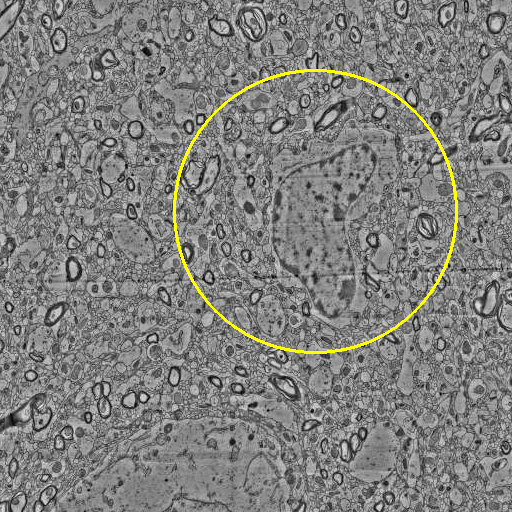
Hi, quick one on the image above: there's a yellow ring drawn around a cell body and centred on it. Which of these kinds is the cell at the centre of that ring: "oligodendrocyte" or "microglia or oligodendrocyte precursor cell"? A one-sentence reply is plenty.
The cell at the centre of the ring is a microglial cell or oligodendrocyte precursor cell.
